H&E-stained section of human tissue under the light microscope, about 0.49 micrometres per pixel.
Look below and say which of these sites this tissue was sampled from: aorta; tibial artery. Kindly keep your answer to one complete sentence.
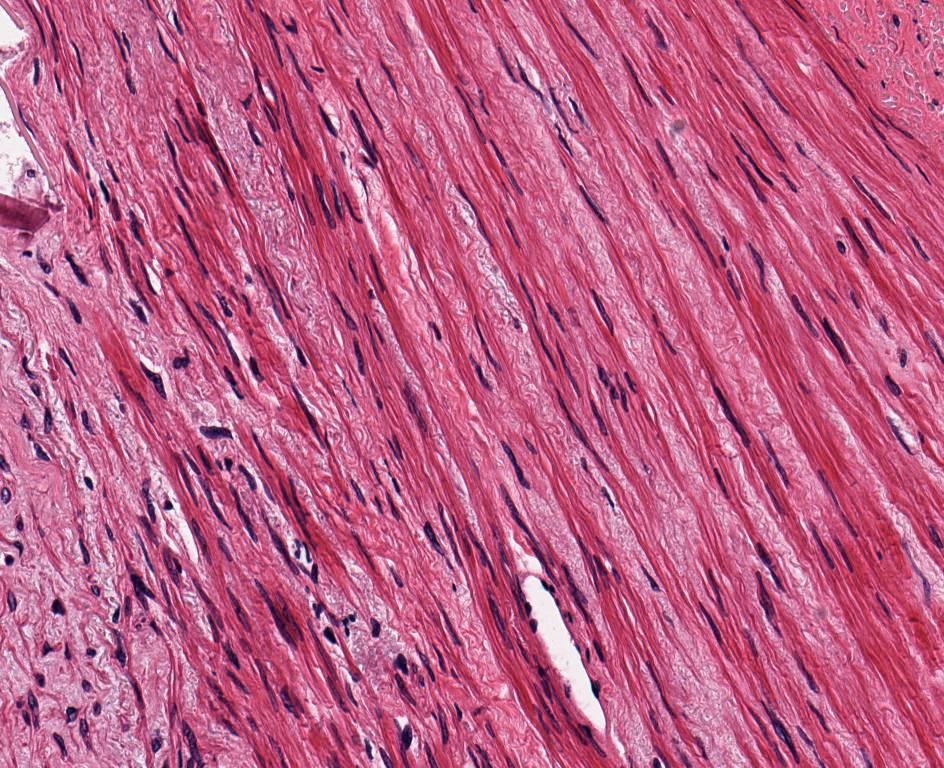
This piece of tissue was sampled from the tibial artery.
